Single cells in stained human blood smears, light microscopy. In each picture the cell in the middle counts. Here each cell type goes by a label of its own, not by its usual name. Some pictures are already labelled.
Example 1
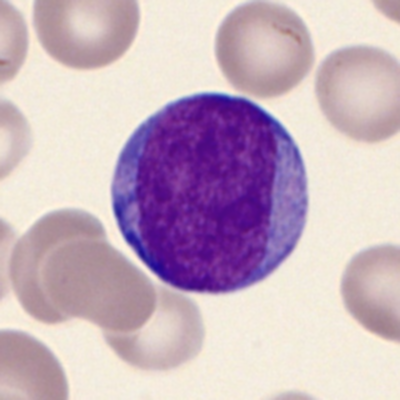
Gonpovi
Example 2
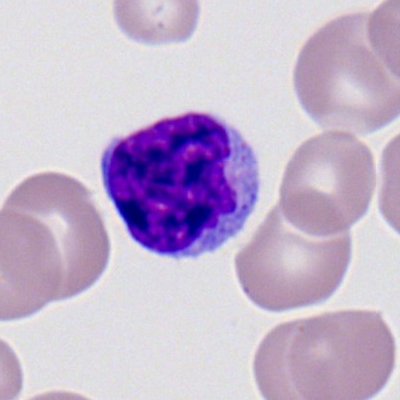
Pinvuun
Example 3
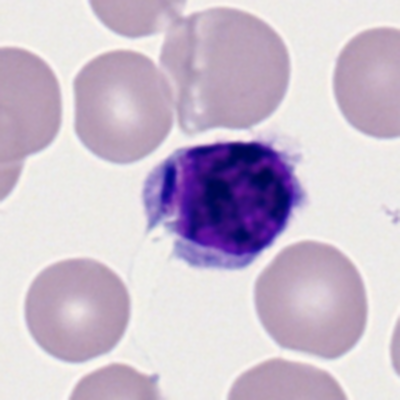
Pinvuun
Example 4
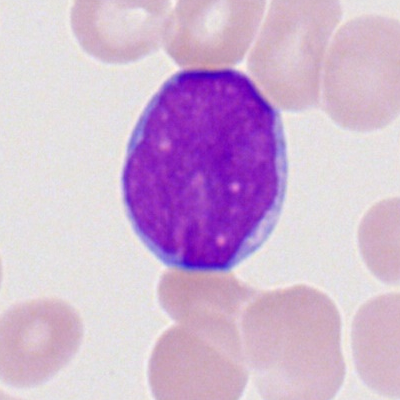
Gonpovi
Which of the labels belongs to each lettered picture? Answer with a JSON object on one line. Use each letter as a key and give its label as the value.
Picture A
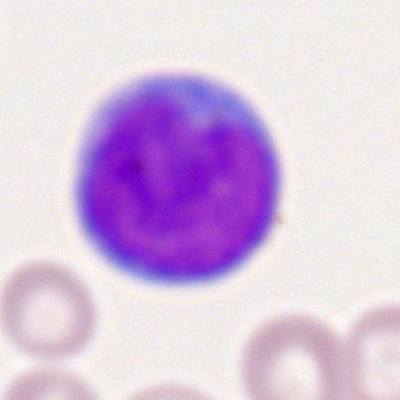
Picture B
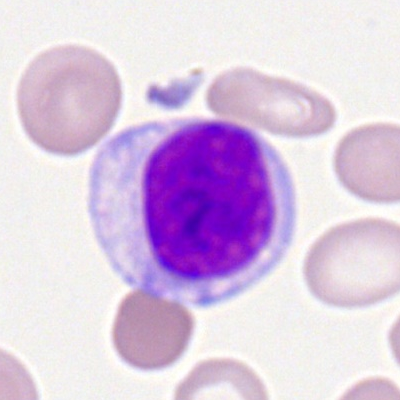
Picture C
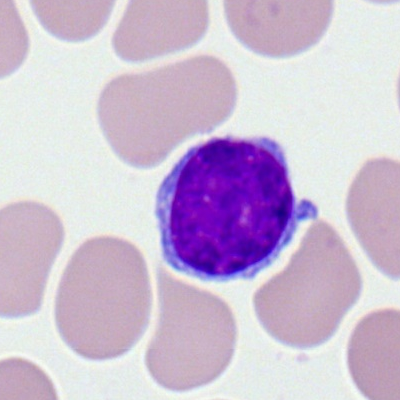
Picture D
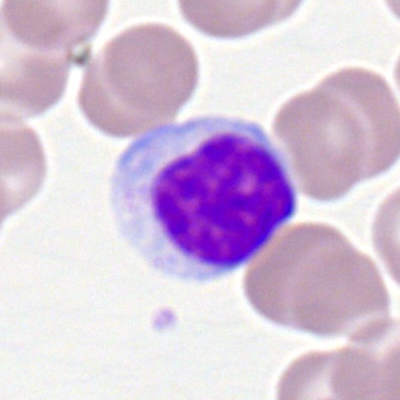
{"A": "Gonpovi", "B": "Pinvuun", "C": "Pinvuun", "D": "Pinvuun"}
